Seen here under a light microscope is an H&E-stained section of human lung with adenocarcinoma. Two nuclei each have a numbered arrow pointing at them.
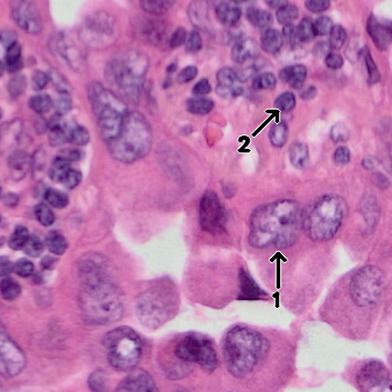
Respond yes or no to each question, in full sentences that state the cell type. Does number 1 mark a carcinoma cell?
Yes, the marked cell with number 1 is a carcinoma cell.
